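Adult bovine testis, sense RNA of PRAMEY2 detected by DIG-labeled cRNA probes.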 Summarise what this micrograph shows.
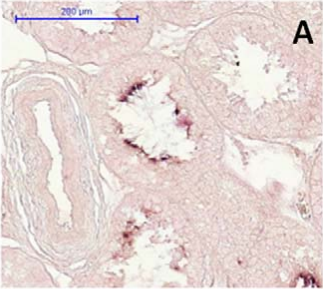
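A dark purple-brown stain forms a ragged rim only along the innermost layer of the epithelium, where it borders the lumens. The outer layers of the tubule epithelium and the tissue between tubules stay pale pink. A thick-walled tube on the left carries no dark stain. The stained innermost cells fit spermatids near the lumen.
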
